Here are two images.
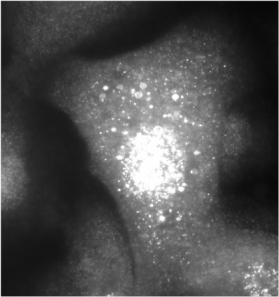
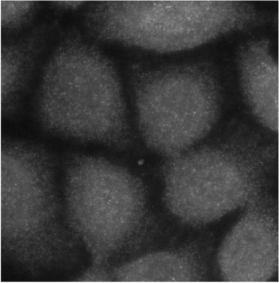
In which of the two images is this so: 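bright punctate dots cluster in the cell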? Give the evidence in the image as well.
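First image: a large cell holds many bright dots, densest in a central cluster. That points to this answer: the first image.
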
